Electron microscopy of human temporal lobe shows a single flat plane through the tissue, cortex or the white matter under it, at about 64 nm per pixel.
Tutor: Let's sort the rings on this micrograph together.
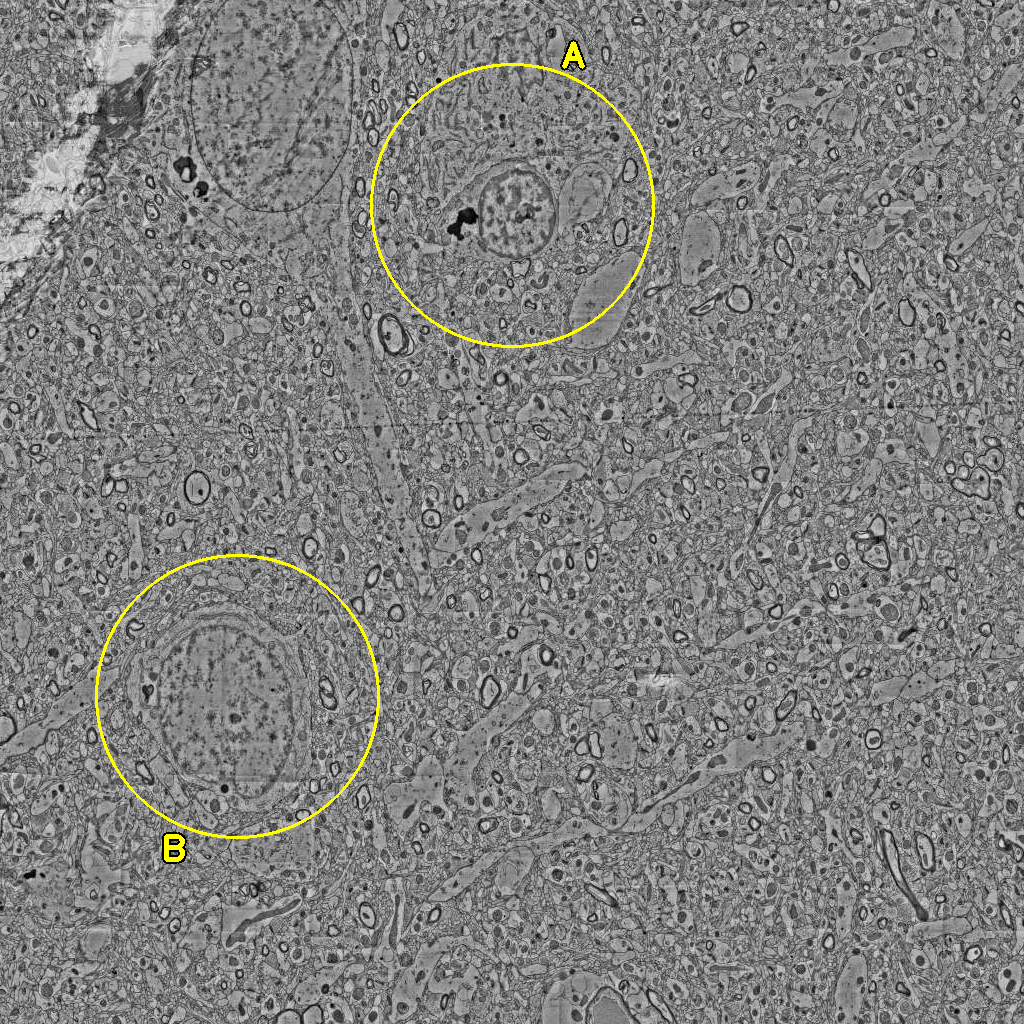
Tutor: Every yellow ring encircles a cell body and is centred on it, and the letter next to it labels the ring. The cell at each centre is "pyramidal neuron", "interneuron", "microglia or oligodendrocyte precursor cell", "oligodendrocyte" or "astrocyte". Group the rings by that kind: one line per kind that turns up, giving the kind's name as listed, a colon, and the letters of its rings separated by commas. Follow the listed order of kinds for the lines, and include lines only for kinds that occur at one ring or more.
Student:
interneuron: B
oligodendrocyte: A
